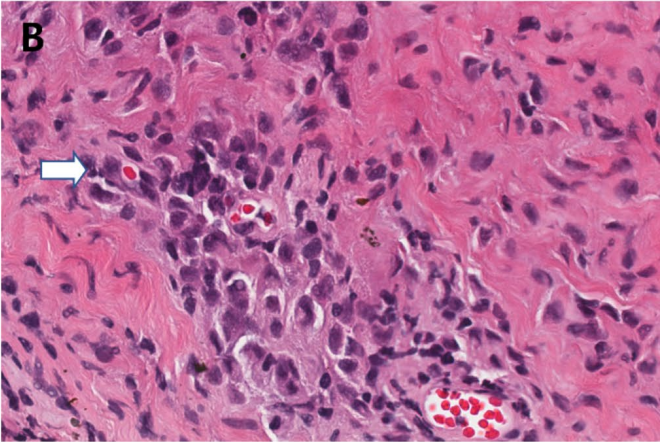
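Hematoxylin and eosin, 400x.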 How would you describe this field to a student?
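High-power view of atypical endothelial cells lying in pink, wavy collagenous stroma. The cells are spindled to plump, with enlarged, hyperchromatic, irregular and variably shaped nuclei and scant, poorly defined cytoplasm. They crowd most densely through the centre of the field, while the stroma at the sides is paler and more fibrous. Several small slit-like or round lumina are seen, some containing bright red blood cells, and these spaces are lined by the enlarged dark nuclei themselves. A larger channel packed with red blood cells sits at the lower right. Scattered fine brown granules lie in the stroma.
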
